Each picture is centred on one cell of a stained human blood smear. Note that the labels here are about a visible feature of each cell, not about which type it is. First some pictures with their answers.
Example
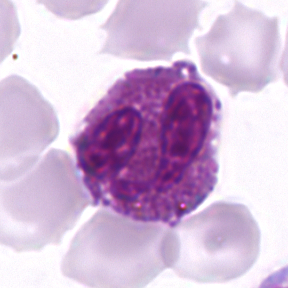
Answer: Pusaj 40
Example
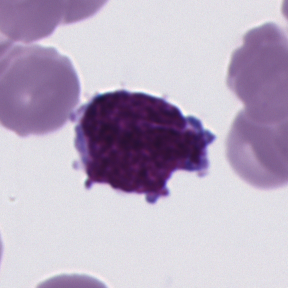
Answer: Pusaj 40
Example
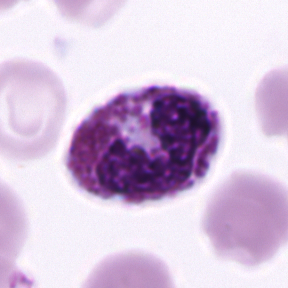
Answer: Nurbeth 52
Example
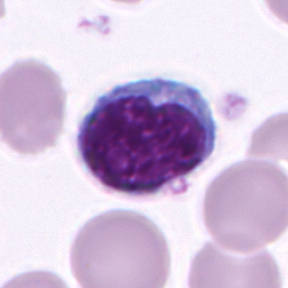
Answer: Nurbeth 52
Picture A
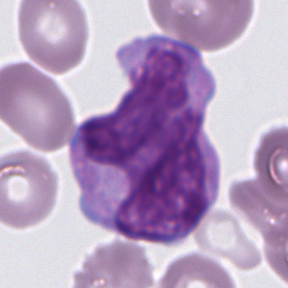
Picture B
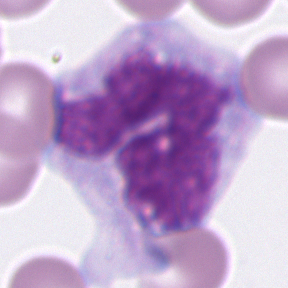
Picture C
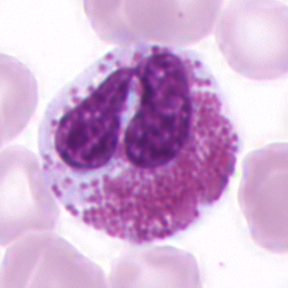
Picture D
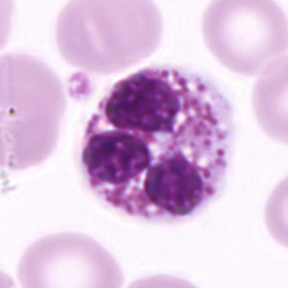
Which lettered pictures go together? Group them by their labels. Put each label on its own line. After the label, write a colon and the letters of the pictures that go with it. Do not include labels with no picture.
Pusaj 40: A, B
Nurbeth 52: C, D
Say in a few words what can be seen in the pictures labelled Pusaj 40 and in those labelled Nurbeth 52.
In Pusaj 40: ragged outline or projections. In Nurbeth 52: smooth outline.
